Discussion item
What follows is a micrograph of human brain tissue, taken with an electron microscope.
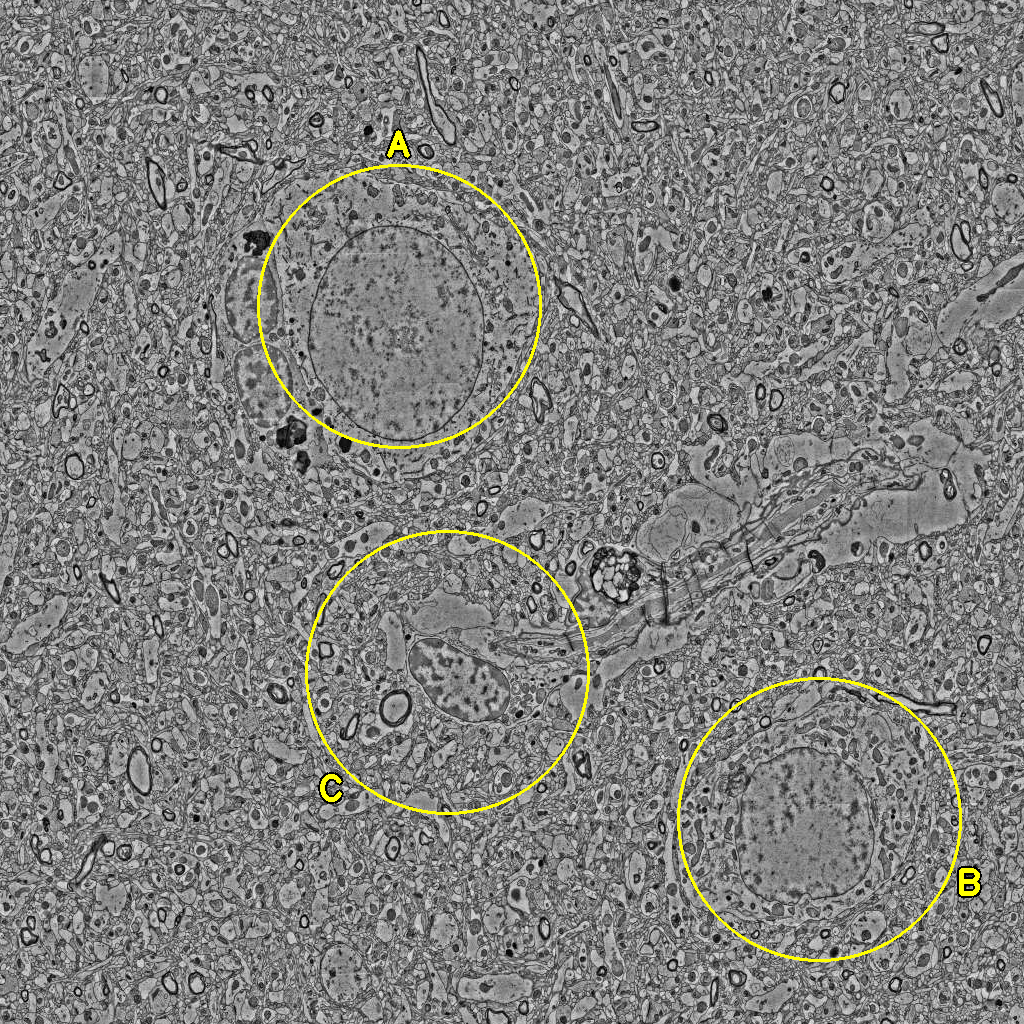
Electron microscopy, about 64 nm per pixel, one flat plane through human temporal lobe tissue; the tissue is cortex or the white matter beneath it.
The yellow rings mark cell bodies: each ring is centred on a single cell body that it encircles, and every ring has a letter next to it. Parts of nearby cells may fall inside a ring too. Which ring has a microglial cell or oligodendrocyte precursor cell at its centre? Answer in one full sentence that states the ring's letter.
Ring C is the ring whose centre falls on the cell the question asks about.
